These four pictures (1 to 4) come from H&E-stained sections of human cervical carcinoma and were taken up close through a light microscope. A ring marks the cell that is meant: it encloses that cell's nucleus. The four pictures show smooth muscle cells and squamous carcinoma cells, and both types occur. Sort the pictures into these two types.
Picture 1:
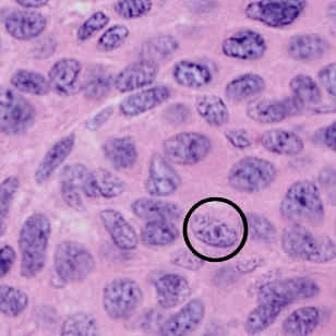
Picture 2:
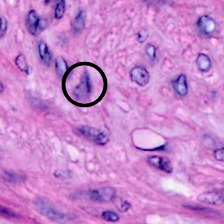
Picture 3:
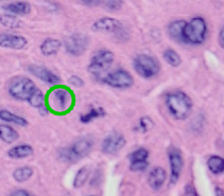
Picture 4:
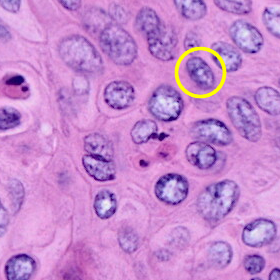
1: squamous carcinoma cell
2: smooth muscle cell
3: squamous carcinoma cell
4: squamous carcinoma cell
